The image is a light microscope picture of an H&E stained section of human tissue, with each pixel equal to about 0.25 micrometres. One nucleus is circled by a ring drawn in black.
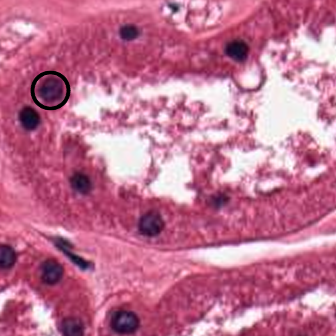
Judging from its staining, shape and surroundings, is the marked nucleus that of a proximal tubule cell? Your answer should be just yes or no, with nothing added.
yes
